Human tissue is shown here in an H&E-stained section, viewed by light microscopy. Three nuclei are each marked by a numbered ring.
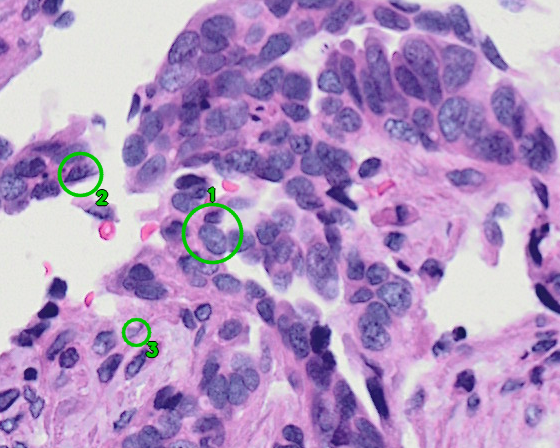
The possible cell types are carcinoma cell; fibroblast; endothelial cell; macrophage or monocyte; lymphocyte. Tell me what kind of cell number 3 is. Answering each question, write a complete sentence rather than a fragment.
The numbered cell 3 in this field is a fibroblast.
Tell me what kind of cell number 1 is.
The expected answer is that cell 1 is a carcinoma cell.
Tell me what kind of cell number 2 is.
The cell given label 2 is a carcinoma cell.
